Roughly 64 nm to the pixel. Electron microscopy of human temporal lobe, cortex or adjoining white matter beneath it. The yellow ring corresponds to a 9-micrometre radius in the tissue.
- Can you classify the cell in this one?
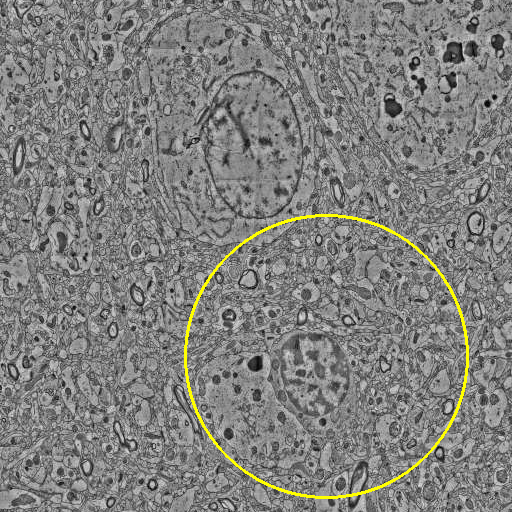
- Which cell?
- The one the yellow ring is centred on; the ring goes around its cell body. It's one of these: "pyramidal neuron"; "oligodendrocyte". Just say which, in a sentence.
The cell body in the ring belongs to an oligodendrocyte.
